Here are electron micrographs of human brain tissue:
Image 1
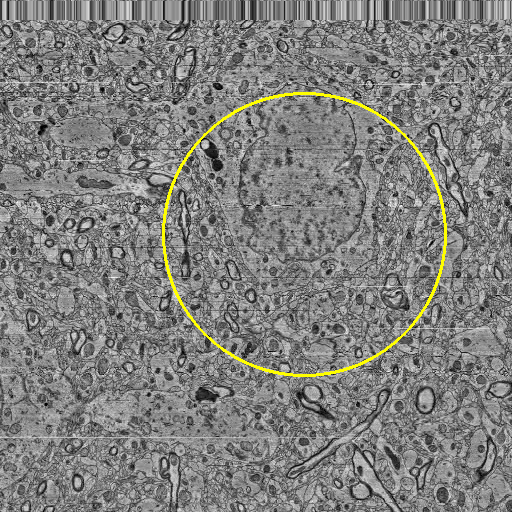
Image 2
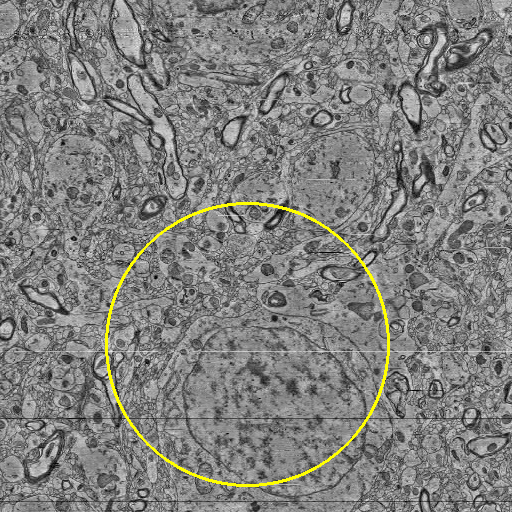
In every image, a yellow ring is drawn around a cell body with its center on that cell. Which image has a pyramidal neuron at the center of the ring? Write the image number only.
2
